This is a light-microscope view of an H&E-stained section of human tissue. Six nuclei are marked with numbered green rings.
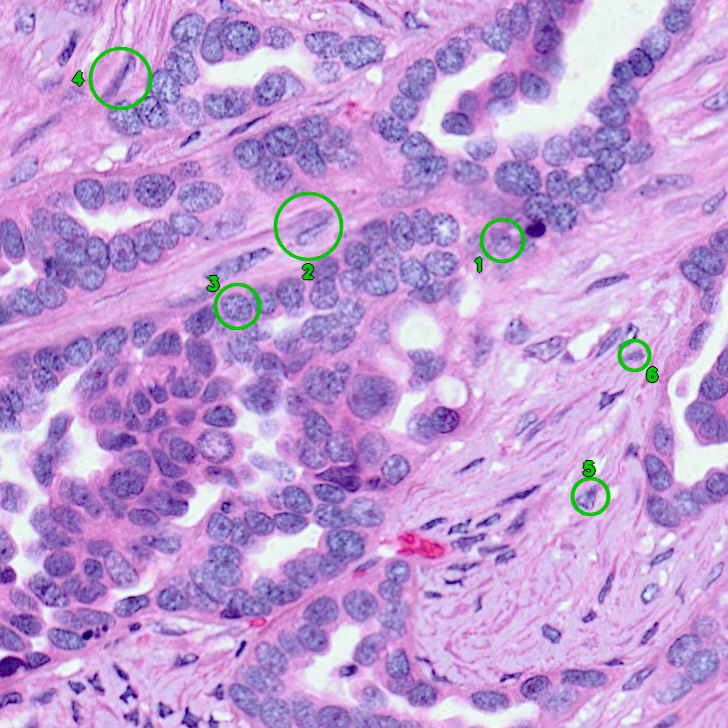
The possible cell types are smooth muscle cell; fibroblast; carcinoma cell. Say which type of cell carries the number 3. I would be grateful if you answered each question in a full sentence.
To a carcinoma cell belongs the nucleus marked 3.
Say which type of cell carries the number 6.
The cell referenced by the number 6 is a fibroblast in this field.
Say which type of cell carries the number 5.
Here the cell numbered 5 is a fibroblast.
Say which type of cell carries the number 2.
Here, the cell given the number 2 is a fibroblast.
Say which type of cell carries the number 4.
The correct label for cell 4 is a fibroblast.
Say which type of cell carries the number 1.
The mark numbered 1 indicates the nucleus of a carcinoma cell.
